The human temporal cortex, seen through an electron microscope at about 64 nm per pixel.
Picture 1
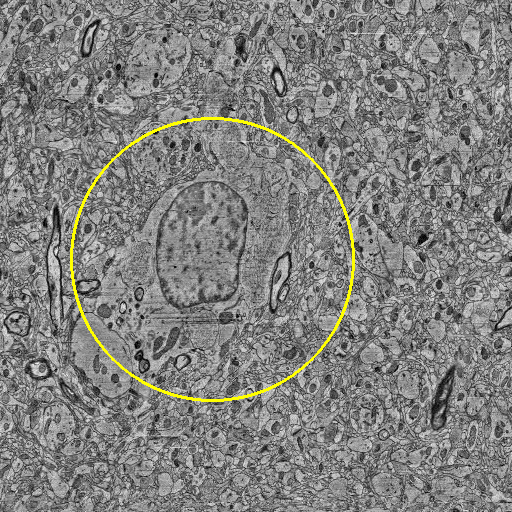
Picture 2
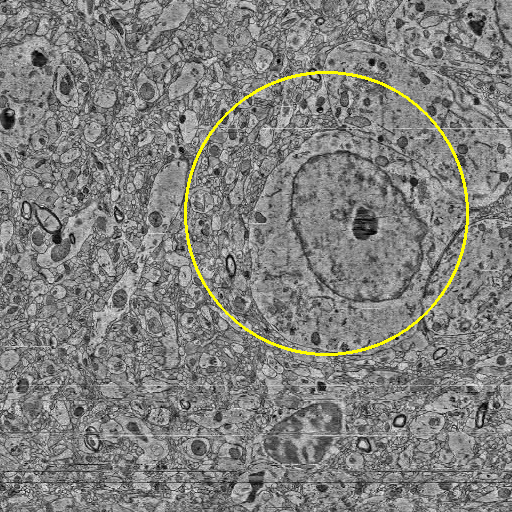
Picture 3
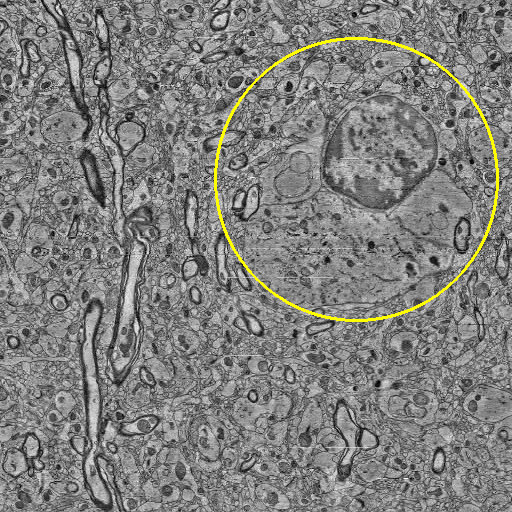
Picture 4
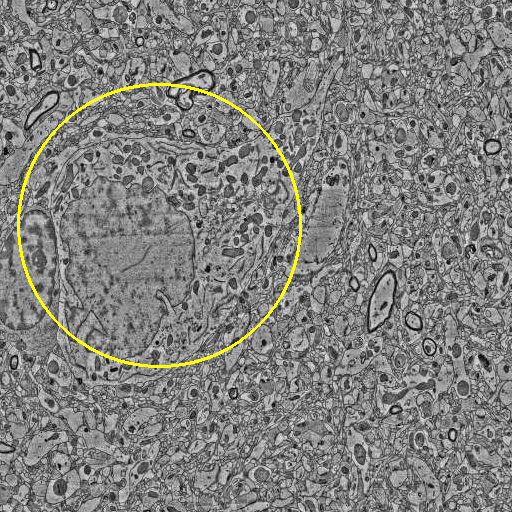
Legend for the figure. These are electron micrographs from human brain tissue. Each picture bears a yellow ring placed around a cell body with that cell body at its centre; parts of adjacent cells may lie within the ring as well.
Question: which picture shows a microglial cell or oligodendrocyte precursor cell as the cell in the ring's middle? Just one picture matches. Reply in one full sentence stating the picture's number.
It is picture 3 whose yellow ring is centred on the requested cell.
